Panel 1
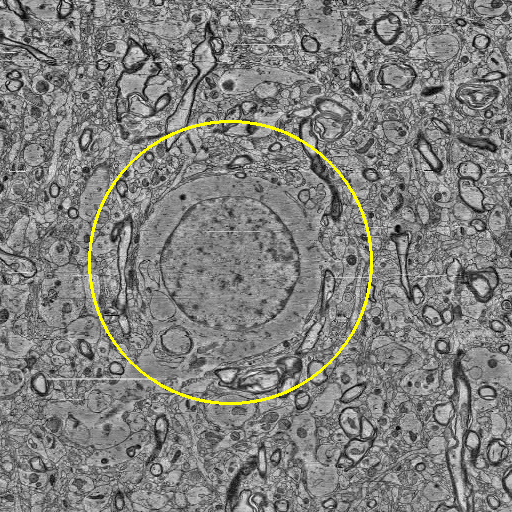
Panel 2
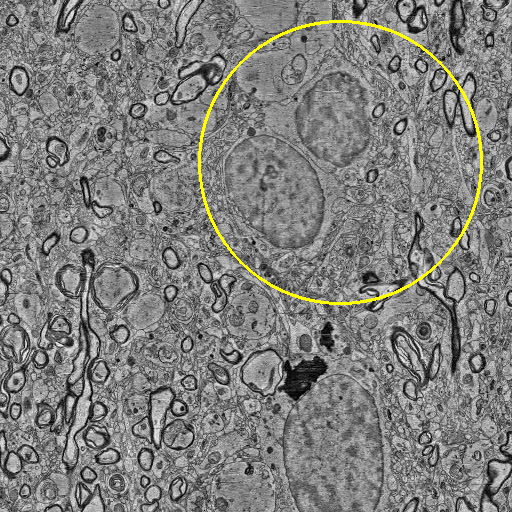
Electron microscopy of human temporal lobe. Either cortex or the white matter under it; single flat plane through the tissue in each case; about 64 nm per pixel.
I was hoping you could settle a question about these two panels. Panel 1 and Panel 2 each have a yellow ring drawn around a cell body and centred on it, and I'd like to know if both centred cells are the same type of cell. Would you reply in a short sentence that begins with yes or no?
No, they are two types of cell.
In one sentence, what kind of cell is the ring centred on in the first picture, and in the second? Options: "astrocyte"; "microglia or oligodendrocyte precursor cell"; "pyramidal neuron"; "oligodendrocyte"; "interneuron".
The cell at the centre of the second ring is an oligodendrocyte; the first ring's cell is an astrocyte.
